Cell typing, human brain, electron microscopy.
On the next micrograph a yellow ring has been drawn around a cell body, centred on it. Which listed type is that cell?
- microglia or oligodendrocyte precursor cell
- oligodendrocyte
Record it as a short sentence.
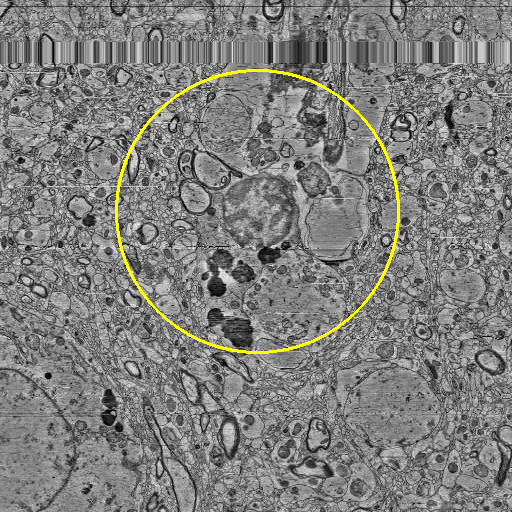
The cell body in the ring's centre belongs to an oligodendrocyte.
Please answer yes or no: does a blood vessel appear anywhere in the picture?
Yes, there is a blood vessel in the image.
